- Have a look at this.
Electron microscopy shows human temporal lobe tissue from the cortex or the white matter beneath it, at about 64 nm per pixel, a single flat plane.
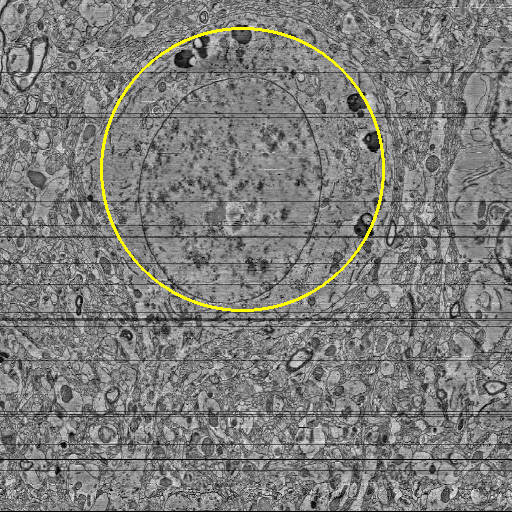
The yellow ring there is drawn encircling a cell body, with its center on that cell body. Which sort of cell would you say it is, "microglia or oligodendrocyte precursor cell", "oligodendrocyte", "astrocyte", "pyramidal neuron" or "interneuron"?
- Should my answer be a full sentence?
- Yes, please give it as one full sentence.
For this picture, a pyramidal neuron is the cell where the yellow ring has its center.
